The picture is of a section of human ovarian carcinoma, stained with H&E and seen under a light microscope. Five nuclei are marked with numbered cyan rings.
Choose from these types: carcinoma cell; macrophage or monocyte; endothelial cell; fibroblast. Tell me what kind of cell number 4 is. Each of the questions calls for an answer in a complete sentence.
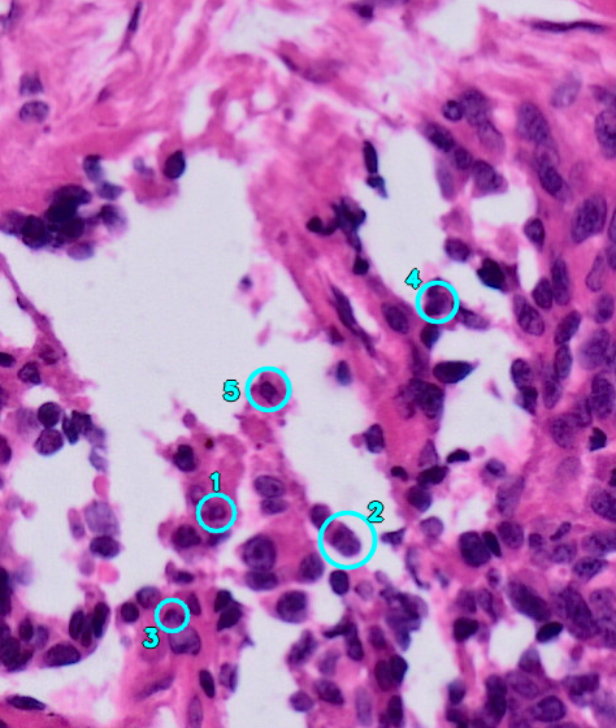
Corresponding to a macrophage or monocyte is the cell labelled 4.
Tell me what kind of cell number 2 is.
The cell that carries the label 2 is a carcinoma cell.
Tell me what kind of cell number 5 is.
The cell numbered 5 has been identified as a macrophage or monocyte.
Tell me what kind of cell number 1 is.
The cell indicated with the number 1 is classed as a carcinoma cell.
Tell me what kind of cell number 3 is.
Cell 3, among those numbered, is an endothelial cell.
